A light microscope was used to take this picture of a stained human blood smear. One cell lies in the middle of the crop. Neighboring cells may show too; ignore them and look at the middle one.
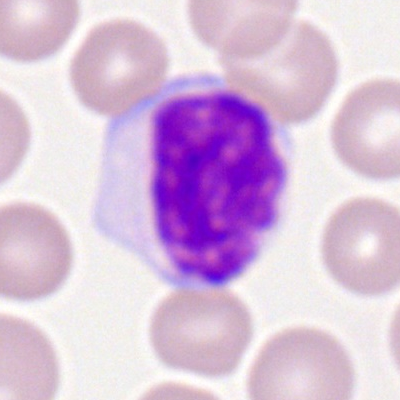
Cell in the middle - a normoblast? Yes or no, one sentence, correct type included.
No, the central cell is properly termed a lymphocyte, not a normoblast.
